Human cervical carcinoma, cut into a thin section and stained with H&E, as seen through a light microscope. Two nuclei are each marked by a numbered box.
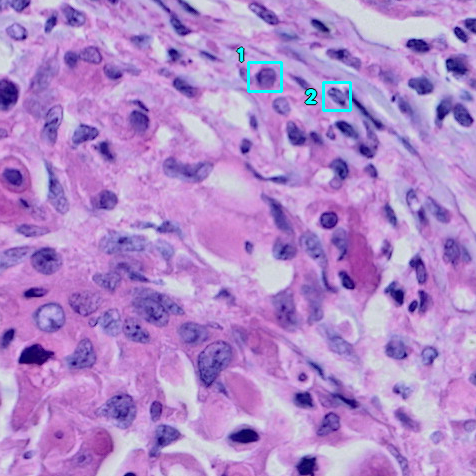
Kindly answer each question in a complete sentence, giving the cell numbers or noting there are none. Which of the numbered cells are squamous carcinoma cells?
There are no squamous carcinoma cells in the group of numbered cells.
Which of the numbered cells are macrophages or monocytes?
None but cell 1 among the numbered cells is a macrophage or monocyte.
